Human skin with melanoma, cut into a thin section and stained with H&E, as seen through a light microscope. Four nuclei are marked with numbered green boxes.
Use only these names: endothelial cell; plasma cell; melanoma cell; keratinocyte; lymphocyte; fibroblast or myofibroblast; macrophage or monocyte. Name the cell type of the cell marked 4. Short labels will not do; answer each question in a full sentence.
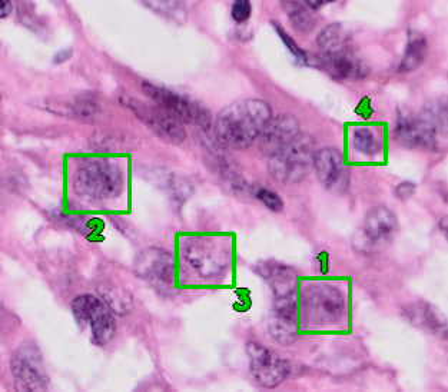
The numeral 4 marks a lymphocyte in this section.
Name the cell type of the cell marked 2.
The cell tagged with 2 in this tissue section is a melanoma cell.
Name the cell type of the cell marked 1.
Corresponding to a melanoma cell is the cell labelled 1.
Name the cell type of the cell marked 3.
The cell to which the number 3 is assigned is a melanoma cell.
